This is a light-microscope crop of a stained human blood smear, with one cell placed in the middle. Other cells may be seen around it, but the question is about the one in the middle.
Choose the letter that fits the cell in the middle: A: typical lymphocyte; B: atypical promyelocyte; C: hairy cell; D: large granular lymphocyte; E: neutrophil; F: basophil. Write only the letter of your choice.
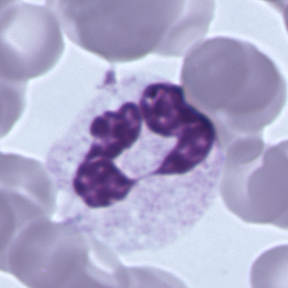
E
